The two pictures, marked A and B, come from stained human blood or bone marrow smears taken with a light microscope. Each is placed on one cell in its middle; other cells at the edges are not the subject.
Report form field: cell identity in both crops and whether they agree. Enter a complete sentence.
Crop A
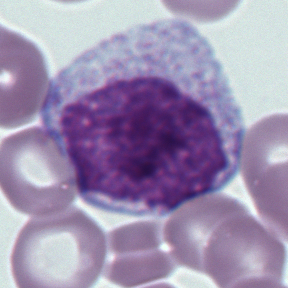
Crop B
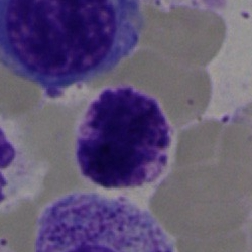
No, the cell that crop A shows is a promyelocyte, and the one crop B shows is a basophil.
